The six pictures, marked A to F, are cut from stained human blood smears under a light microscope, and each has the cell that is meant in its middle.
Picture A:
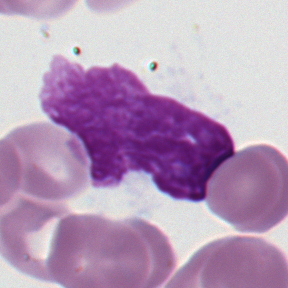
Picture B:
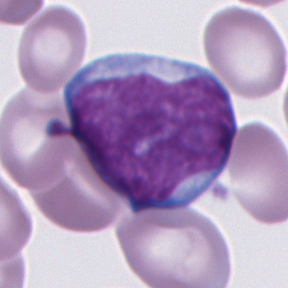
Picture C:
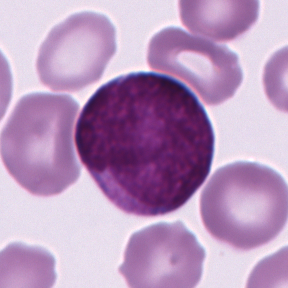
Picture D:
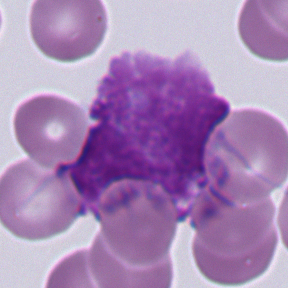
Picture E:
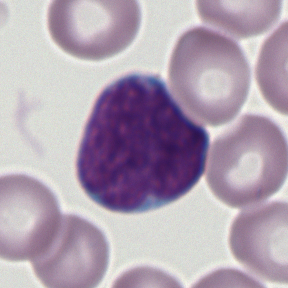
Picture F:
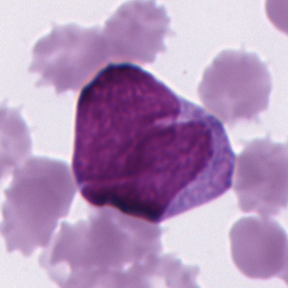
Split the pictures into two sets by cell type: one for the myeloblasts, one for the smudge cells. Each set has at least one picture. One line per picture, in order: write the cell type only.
smudge cell
myeloblast
myeloblast
smudge cell
myeloblast
myeloblast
